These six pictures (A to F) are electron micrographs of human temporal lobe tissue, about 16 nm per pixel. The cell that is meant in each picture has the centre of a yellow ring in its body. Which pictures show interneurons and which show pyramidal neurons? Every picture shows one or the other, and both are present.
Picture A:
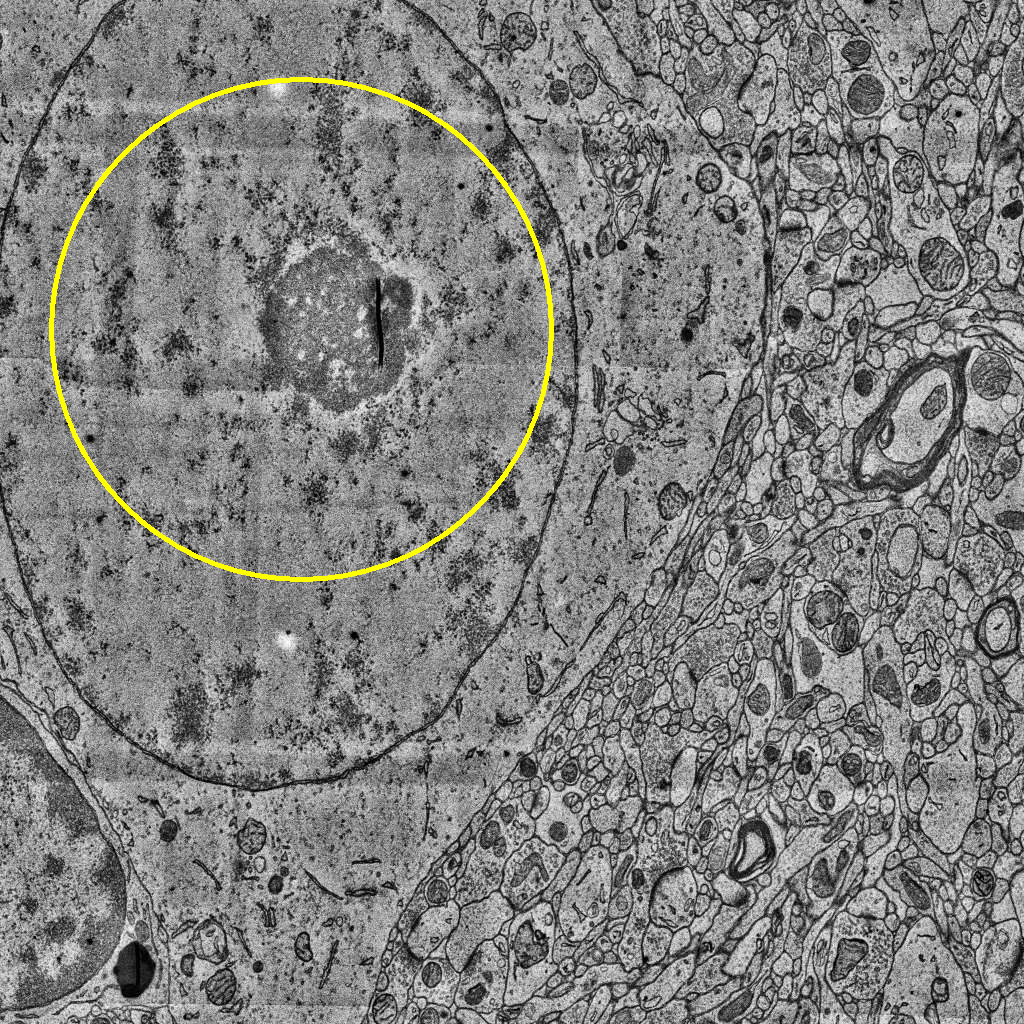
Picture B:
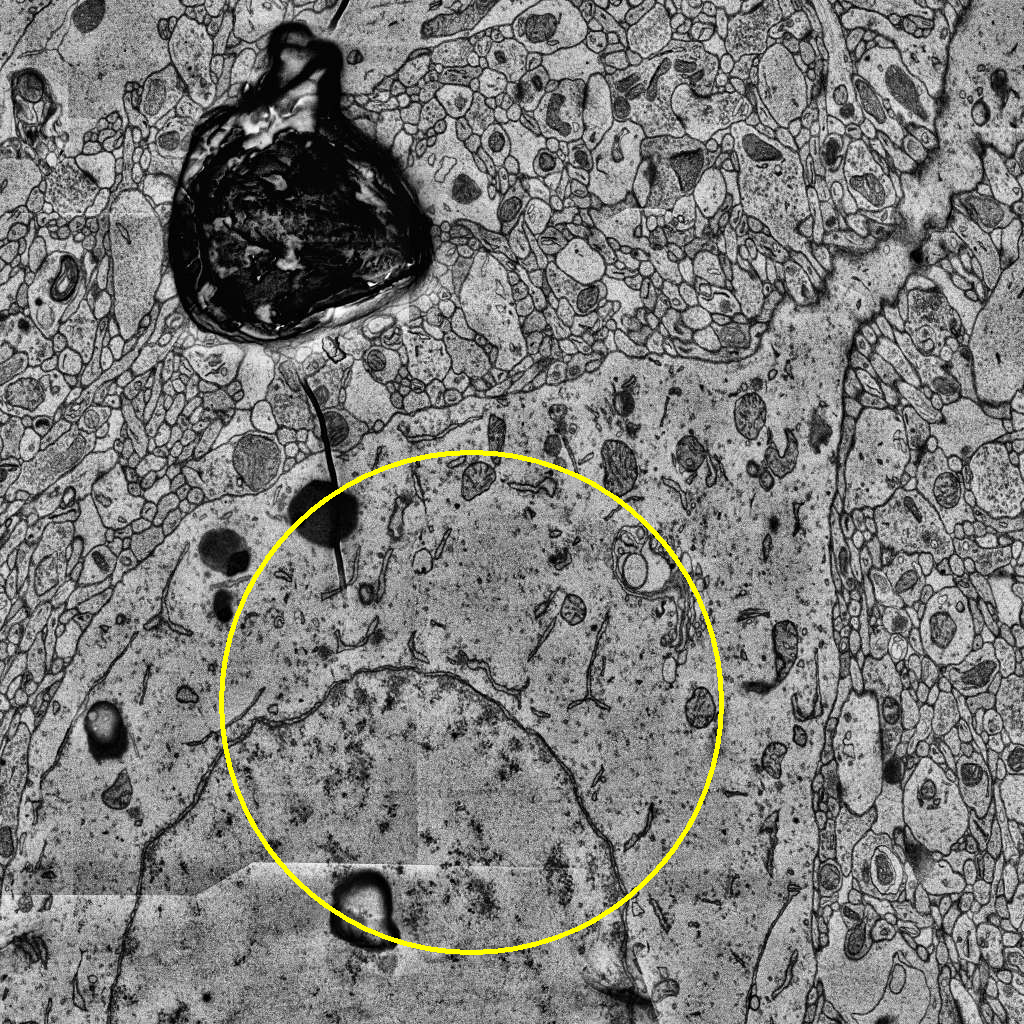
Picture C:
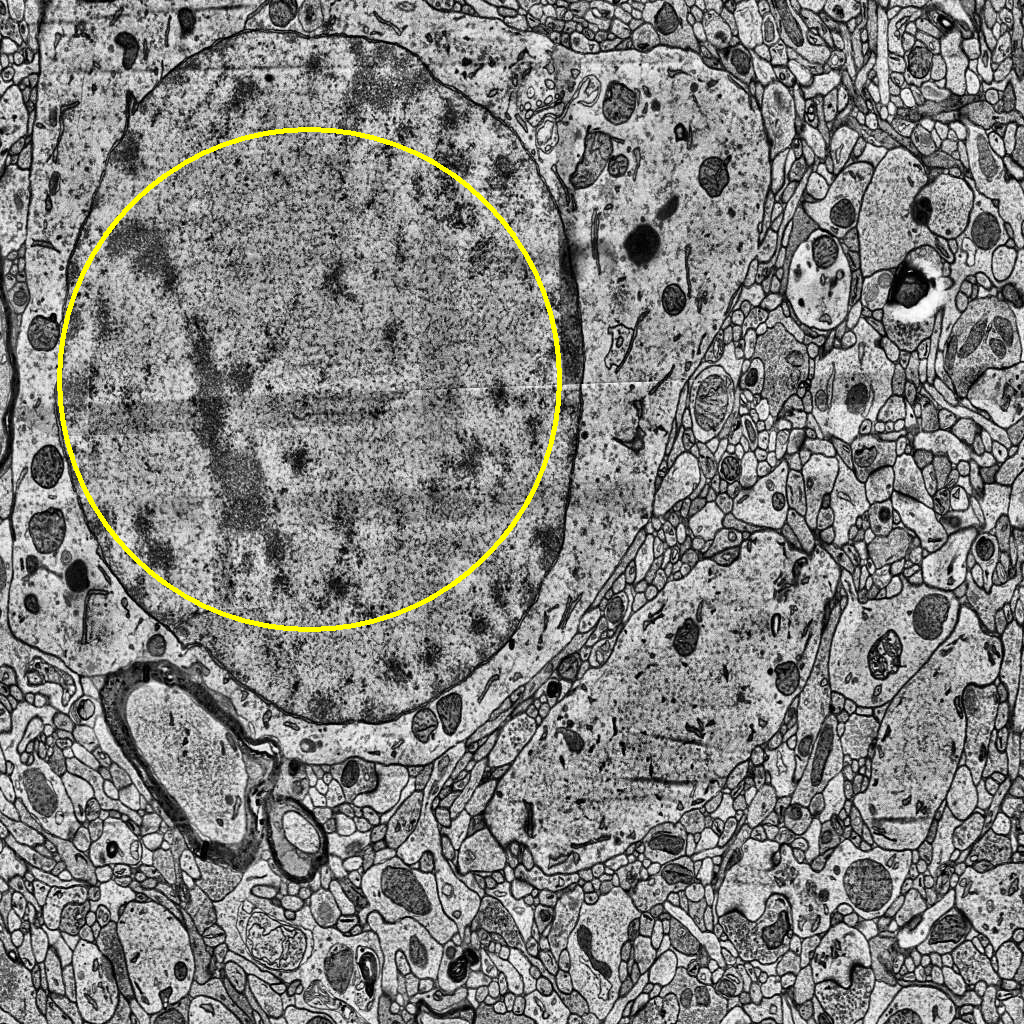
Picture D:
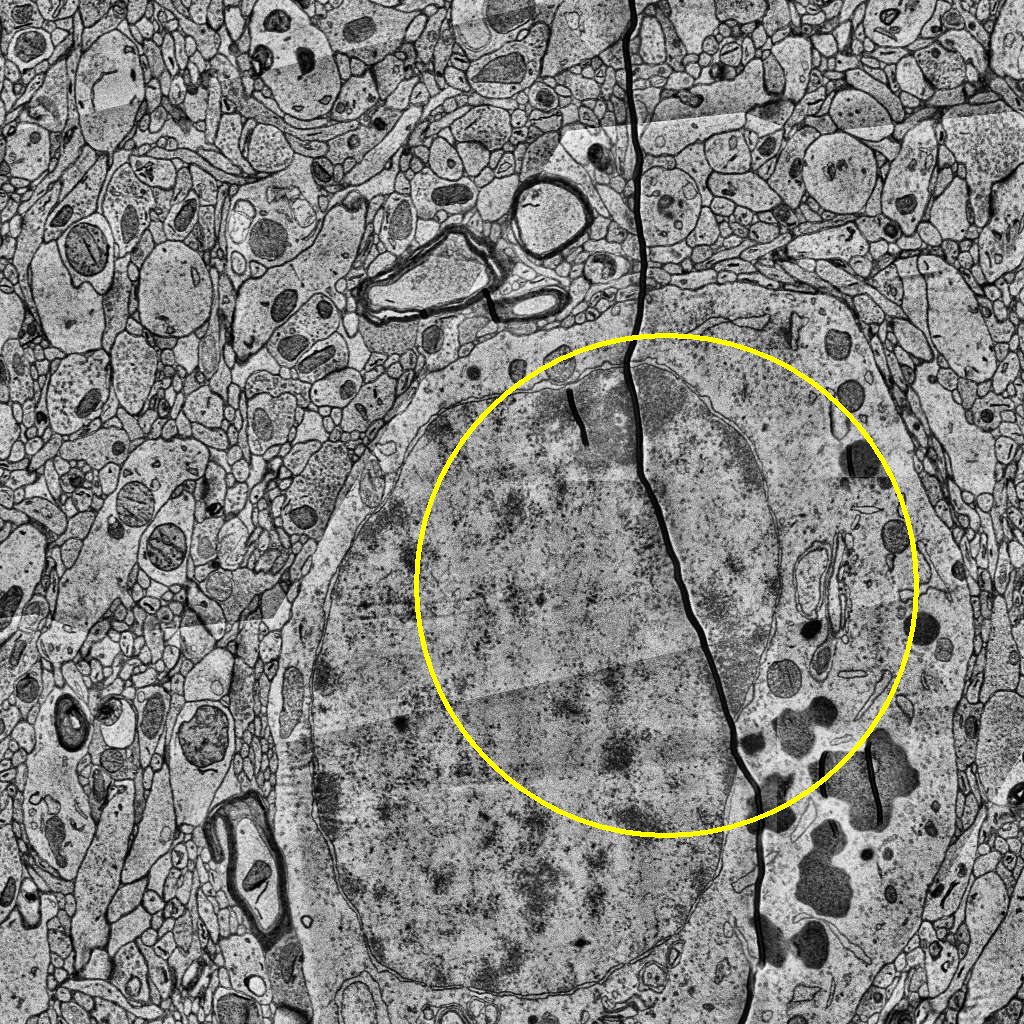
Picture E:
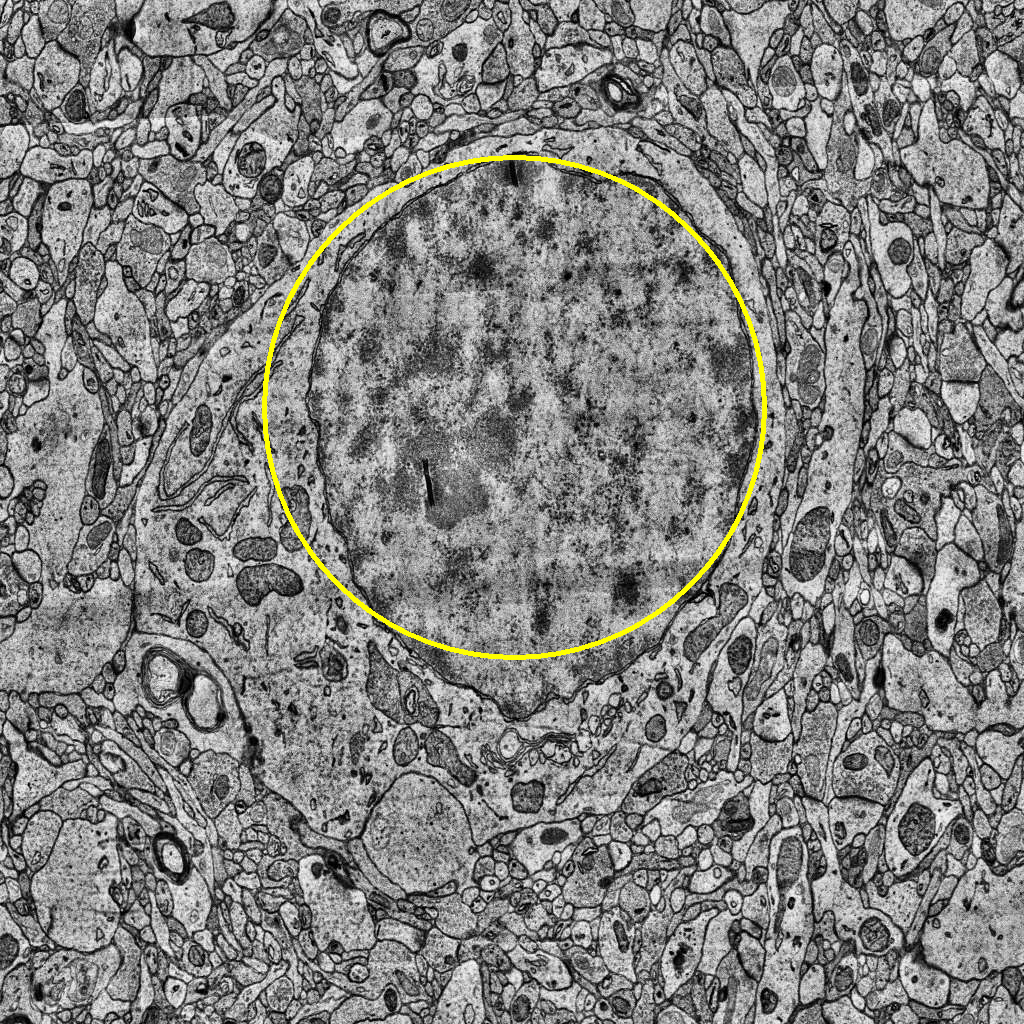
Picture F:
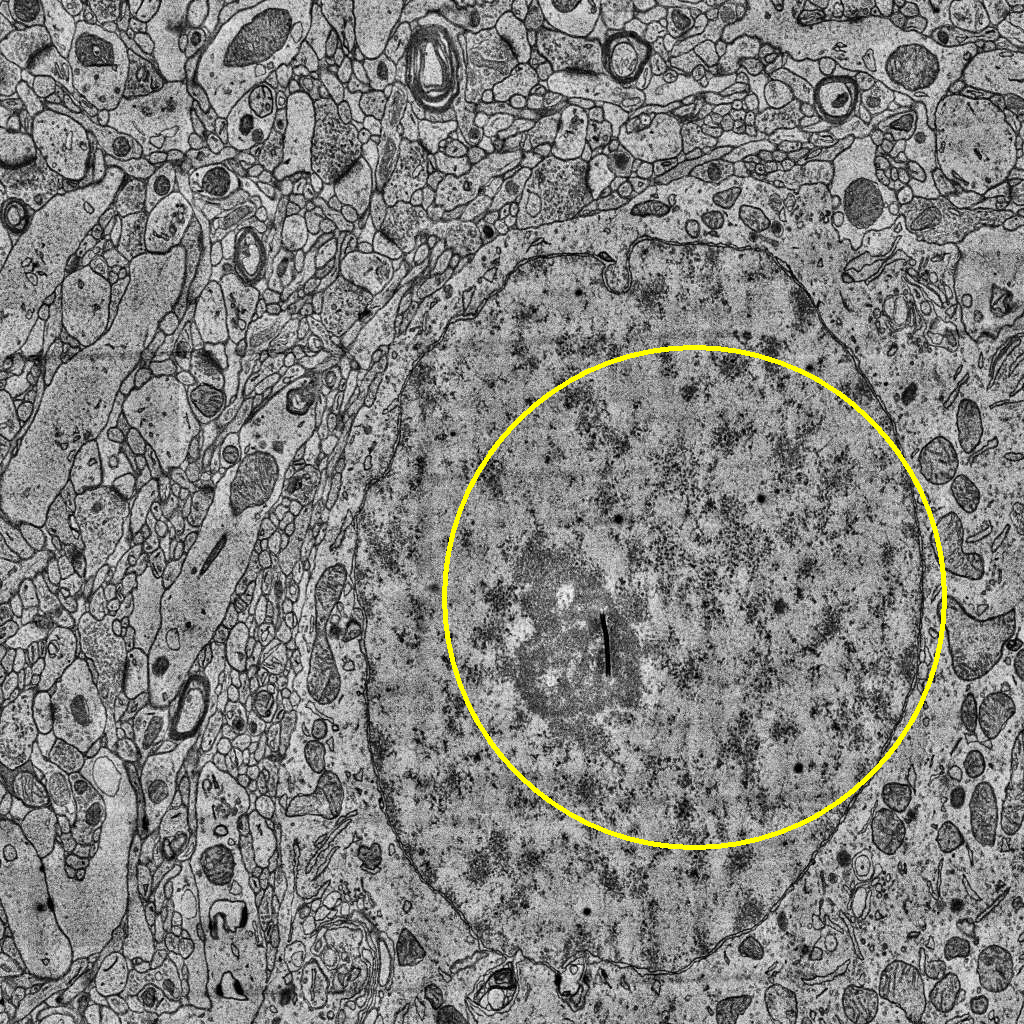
Pictures D, E and F show interneurons, while pictures A, B and C show pyramidal neurons.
